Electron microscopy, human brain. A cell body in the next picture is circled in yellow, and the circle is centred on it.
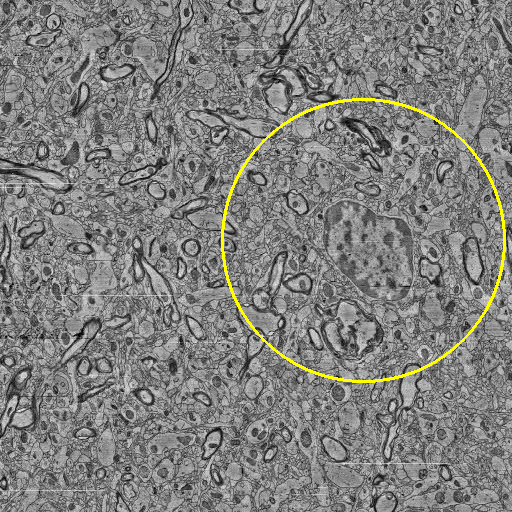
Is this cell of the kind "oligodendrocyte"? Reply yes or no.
no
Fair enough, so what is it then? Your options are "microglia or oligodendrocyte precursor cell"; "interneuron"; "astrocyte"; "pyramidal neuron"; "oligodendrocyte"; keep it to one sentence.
Instead, the cell at the centre of the ring is a microglial cell or oligodendrocyte precursor cell.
